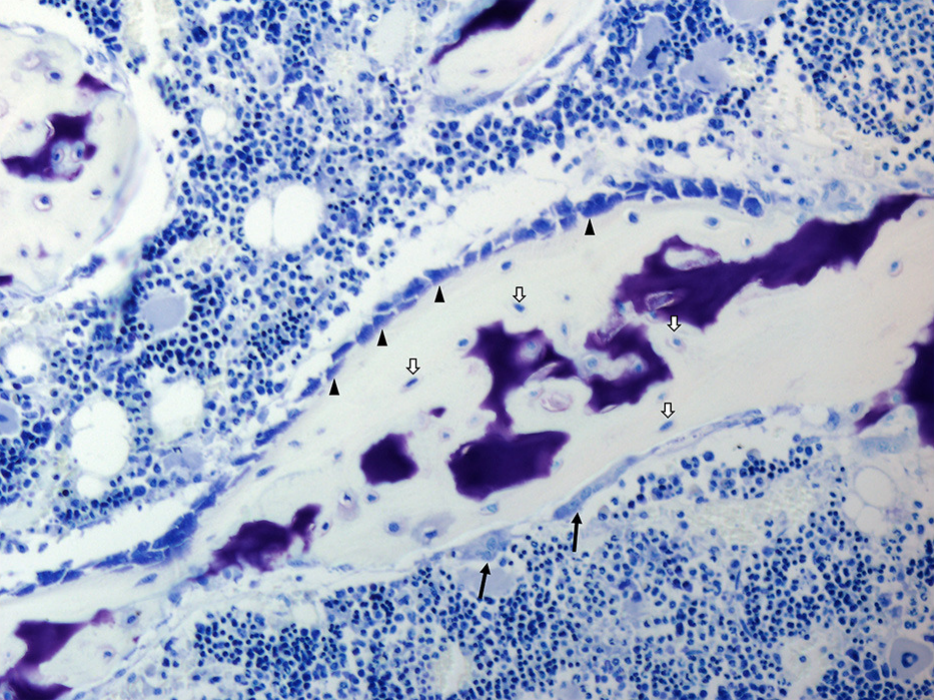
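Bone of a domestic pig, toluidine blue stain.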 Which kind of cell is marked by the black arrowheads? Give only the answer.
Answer: Osteoblasts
